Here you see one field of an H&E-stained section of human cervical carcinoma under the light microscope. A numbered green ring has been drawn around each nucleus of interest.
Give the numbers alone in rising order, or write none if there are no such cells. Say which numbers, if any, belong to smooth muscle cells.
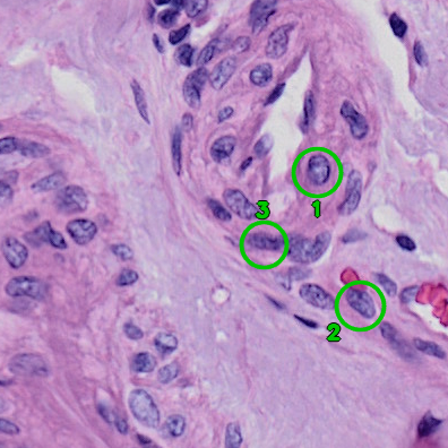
1, 3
